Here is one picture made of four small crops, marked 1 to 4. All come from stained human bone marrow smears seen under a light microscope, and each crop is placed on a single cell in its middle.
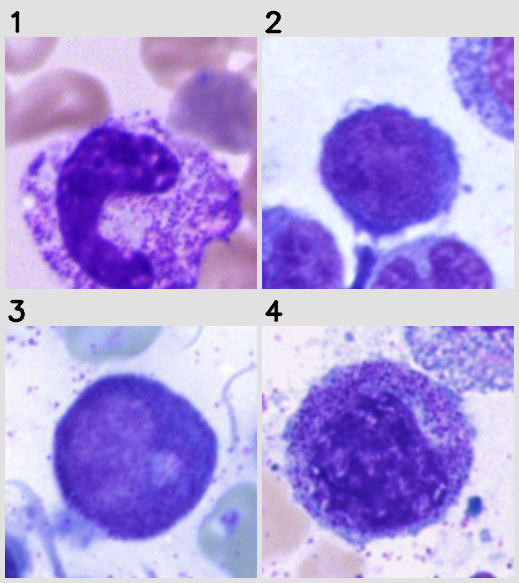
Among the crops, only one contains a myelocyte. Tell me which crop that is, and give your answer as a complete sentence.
Of the crops shown, crop 4 depicts a myelocyte.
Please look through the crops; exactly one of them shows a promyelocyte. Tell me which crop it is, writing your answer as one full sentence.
Crop 3 is the one to choose: it shows a promyelocyte.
